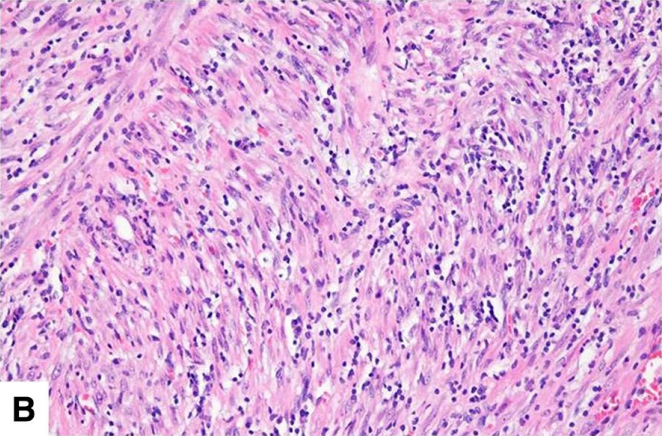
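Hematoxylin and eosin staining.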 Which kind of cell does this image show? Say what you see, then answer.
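Small round cells with dark round nuclei are scattered among the spindle cells. These round cells are densest on the right side of the field. On this evidence: inflammatory cells.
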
